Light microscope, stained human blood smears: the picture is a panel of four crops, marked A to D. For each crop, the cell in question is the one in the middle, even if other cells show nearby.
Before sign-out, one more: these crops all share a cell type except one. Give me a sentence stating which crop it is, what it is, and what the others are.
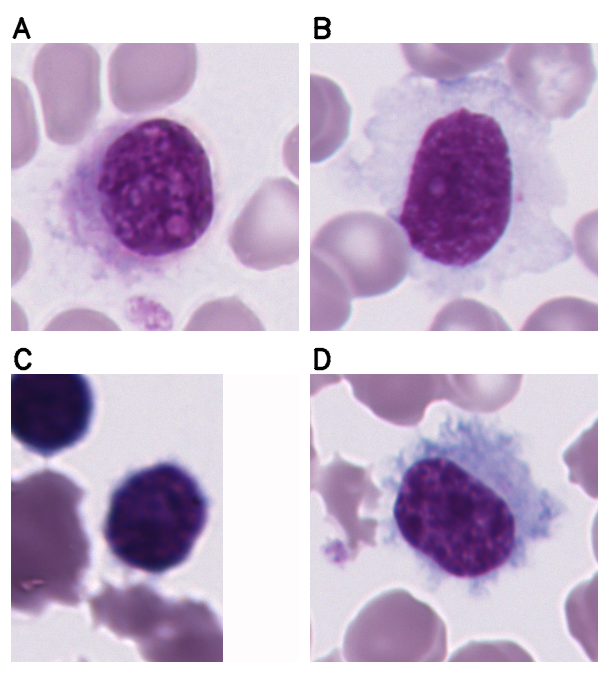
What sets crop A apart is that it shows a plasma cell, while the others show hairy cells.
